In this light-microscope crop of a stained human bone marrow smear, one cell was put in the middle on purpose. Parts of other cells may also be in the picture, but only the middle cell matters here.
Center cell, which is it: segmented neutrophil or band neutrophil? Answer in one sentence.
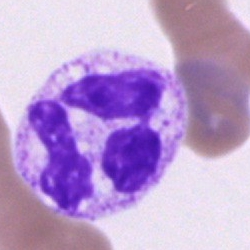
For this crop, the central cell is a segmented neutrophil.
